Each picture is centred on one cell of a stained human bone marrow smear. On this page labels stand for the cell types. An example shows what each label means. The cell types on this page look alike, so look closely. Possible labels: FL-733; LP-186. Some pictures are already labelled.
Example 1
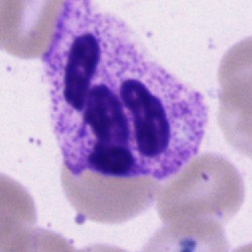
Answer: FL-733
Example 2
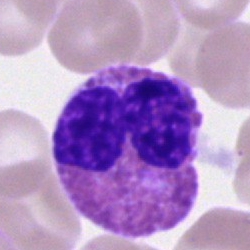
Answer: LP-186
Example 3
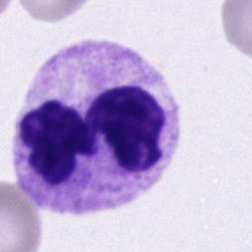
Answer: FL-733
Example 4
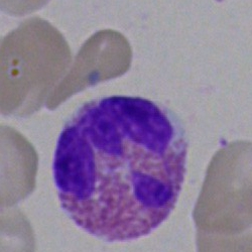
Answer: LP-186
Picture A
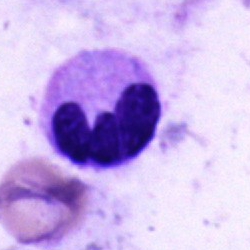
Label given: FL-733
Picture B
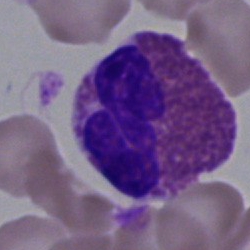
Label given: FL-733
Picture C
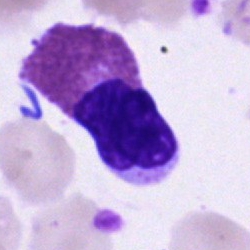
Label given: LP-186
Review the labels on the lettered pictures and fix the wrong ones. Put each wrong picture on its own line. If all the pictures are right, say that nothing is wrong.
B is labelled FL-733; correct label: LP-186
